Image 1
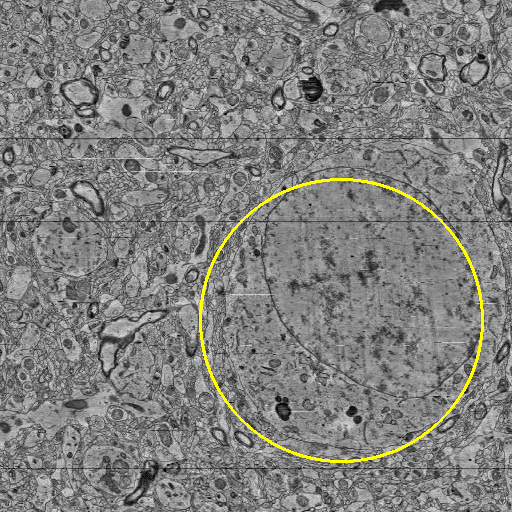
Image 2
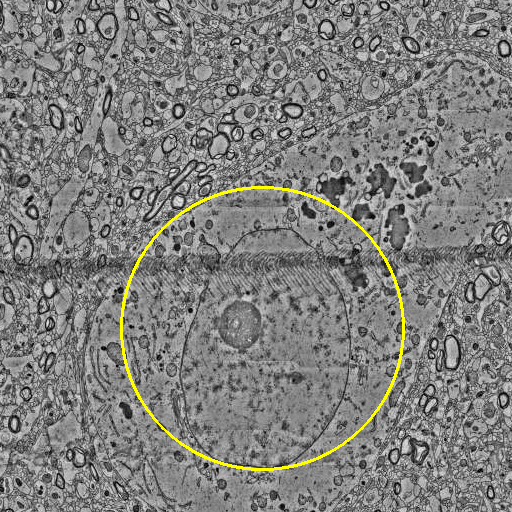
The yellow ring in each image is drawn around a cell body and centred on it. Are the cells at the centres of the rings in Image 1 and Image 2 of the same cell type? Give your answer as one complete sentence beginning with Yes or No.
Yes, both cells are of the same type.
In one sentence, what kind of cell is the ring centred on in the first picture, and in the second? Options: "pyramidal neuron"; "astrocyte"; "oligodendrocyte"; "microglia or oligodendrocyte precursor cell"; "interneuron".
The first and the second cell are each a pyramidal neuron.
